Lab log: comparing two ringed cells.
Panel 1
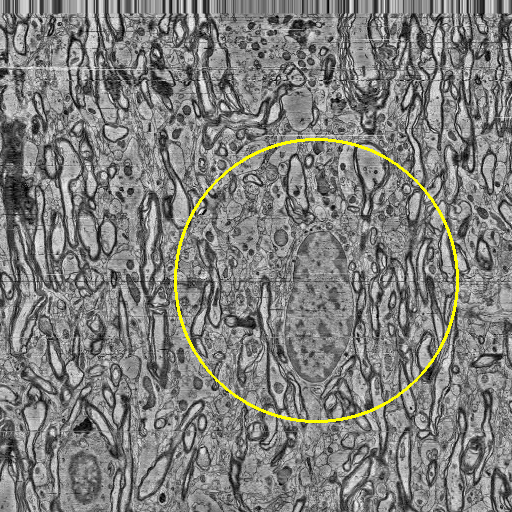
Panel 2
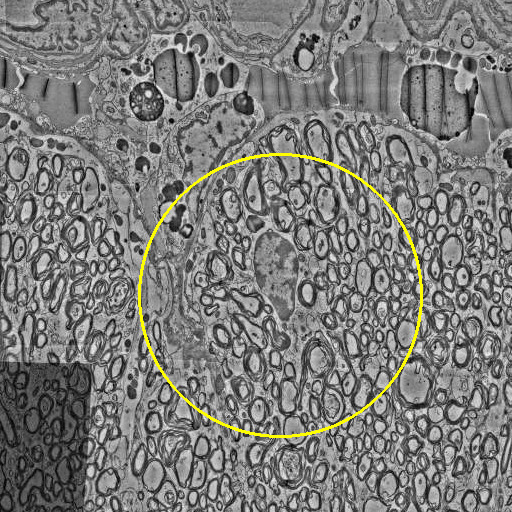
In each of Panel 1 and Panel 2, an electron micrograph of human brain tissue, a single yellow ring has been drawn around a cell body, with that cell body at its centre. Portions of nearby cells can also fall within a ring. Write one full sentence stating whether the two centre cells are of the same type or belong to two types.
The cells at the ring centres in Panel 1 and Panel 2 are of the same type.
